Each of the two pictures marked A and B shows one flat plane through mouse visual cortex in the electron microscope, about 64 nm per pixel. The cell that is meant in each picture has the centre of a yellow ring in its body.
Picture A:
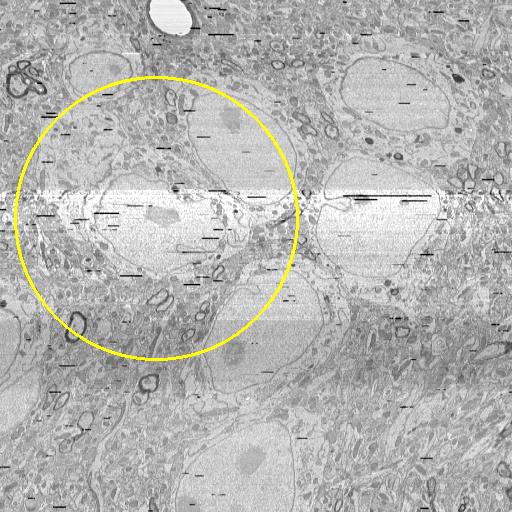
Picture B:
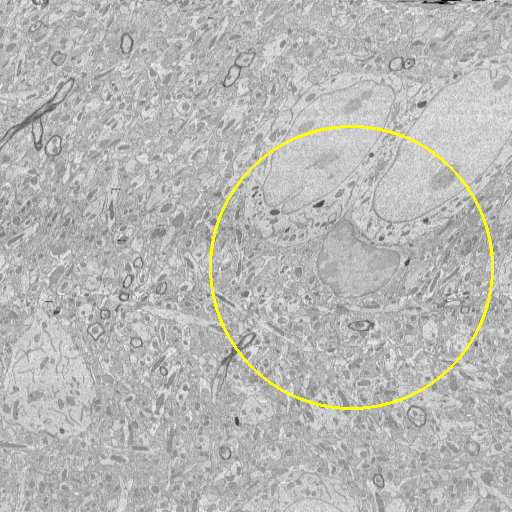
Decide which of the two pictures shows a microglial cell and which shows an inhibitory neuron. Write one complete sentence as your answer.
Picture B shows a microglial cell, while picture A shows an inhibitory neuron.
